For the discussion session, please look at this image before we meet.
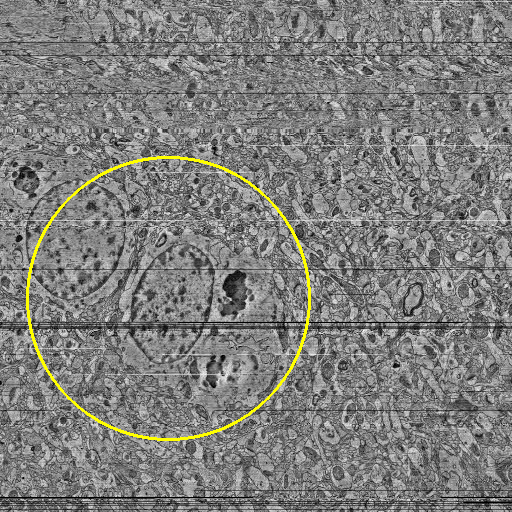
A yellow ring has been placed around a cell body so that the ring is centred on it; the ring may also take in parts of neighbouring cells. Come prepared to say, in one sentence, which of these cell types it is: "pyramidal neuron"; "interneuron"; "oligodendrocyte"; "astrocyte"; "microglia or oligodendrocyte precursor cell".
The cell centred in the ring is an astrocyte.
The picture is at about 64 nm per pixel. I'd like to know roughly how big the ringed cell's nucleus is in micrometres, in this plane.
Roughly 8 micrometres by 5 micrometres, so the nucleus is clearly longer than it is wide in this plane.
